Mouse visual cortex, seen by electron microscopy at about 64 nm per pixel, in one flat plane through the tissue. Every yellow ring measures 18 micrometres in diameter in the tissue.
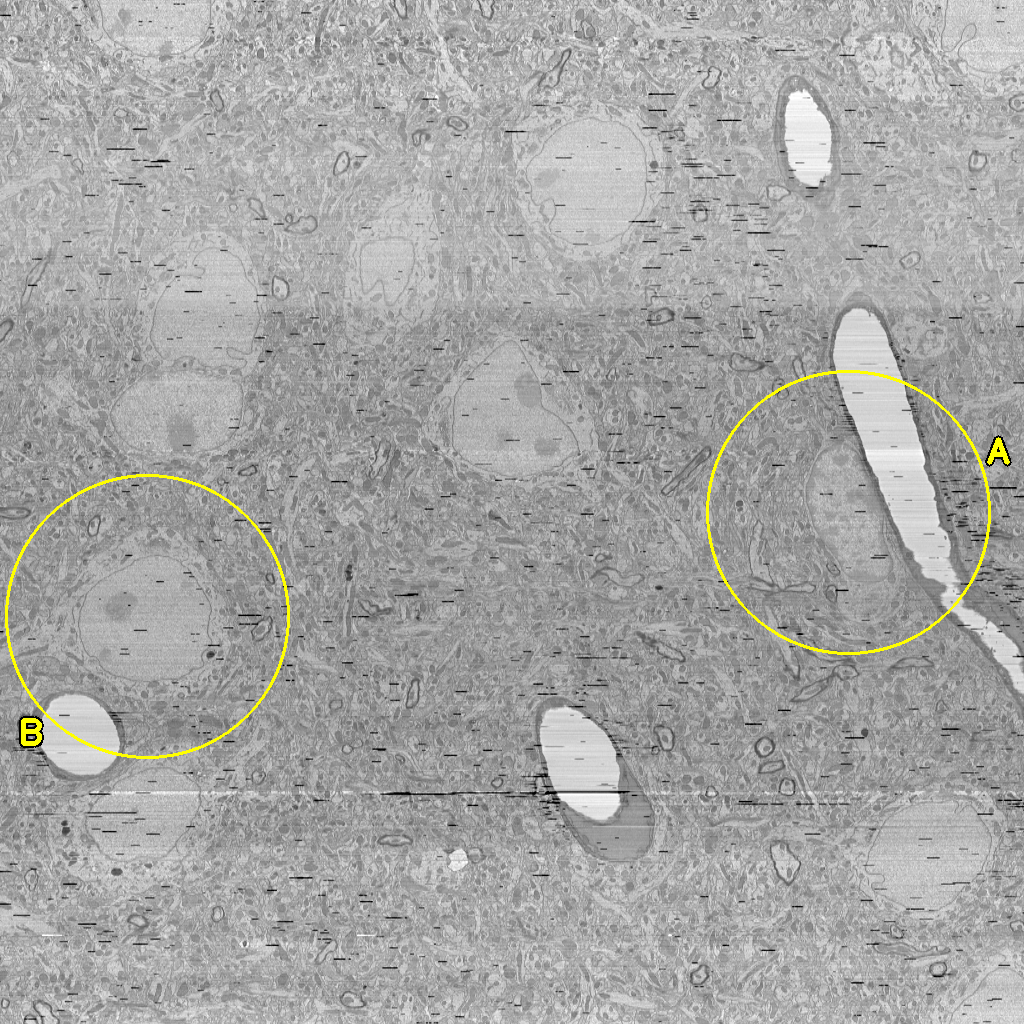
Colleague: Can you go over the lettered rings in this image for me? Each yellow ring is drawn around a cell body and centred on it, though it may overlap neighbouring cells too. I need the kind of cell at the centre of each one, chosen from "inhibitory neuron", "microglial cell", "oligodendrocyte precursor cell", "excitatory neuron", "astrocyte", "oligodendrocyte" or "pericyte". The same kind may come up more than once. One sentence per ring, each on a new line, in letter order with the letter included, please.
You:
Ring A marks the cell body of an oligodendrocyte.
Ring B marks the cell body of an excitatory neuron.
